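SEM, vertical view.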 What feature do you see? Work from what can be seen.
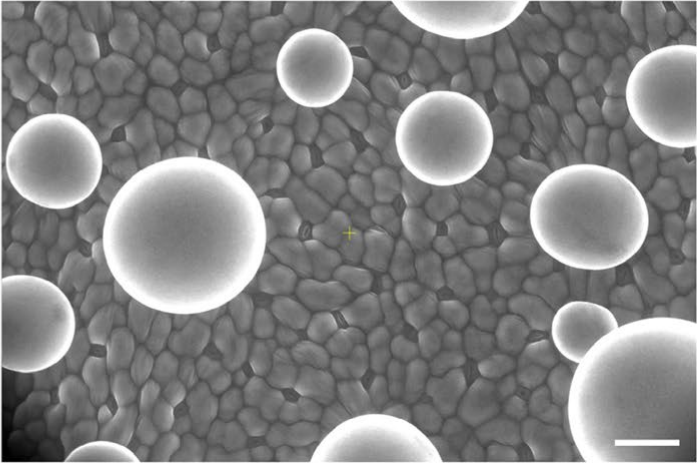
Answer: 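Round, smooth bodies of varying size are scattered over the surface, seen from above. They are many times larger than the surrounding epidermal cells. The background is a mosaic of small, irregular polygonal epidermal cells.
Salt bladders.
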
